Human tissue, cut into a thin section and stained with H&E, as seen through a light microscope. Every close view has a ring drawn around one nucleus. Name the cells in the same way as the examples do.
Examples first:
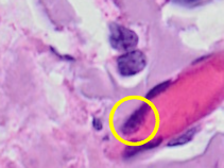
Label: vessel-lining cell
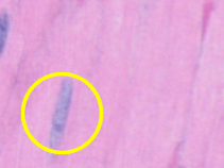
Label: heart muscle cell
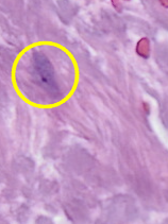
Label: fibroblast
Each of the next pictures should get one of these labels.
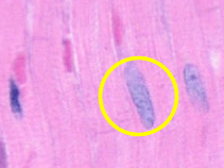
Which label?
heart muscle cell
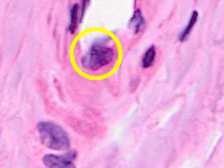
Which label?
vessel-lining cell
